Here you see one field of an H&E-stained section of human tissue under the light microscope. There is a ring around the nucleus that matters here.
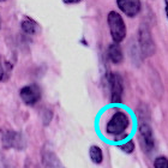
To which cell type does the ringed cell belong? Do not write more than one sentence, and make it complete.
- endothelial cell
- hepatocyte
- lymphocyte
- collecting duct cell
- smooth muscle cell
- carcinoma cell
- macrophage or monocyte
Labelled by cell type, the ringed cell is a lymphocyte.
